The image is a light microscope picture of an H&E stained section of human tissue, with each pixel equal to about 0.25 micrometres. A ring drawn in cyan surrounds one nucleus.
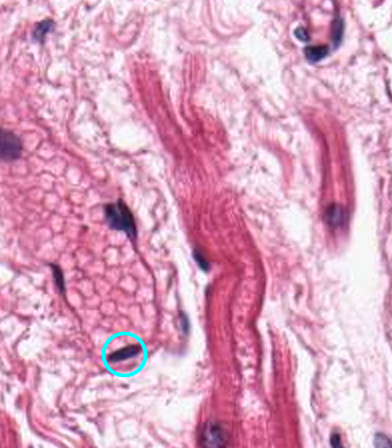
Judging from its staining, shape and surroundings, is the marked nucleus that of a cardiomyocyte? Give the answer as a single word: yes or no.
no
